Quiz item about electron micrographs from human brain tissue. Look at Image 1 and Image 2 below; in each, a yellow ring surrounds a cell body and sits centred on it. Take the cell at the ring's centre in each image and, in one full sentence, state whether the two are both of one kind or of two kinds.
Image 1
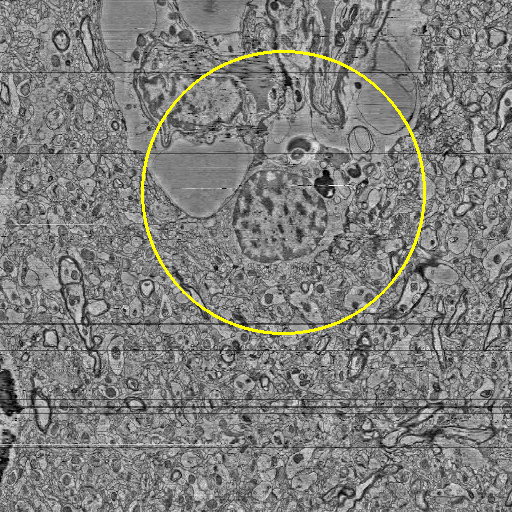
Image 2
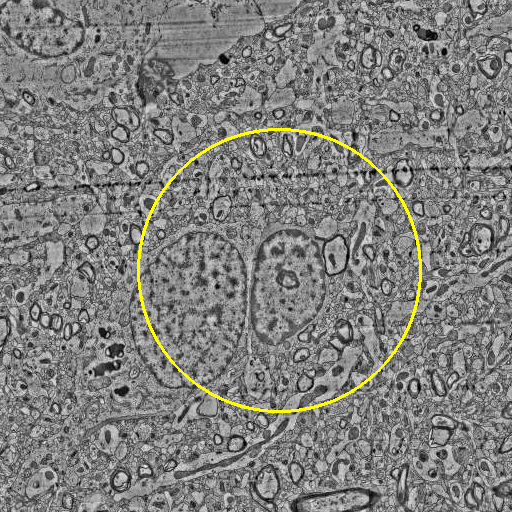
In Image 1 and Image 2, the cells at the ring centres are both of one kind.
